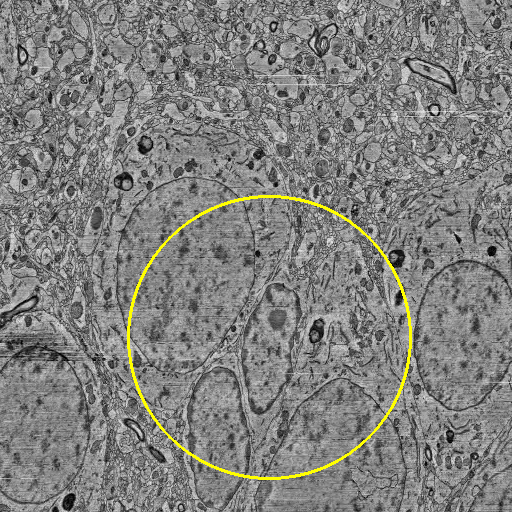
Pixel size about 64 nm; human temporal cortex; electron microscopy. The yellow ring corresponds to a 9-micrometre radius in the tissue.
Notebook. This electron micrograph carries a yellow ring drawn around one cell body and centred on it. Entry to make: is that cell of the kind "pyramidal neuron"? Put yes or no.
no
